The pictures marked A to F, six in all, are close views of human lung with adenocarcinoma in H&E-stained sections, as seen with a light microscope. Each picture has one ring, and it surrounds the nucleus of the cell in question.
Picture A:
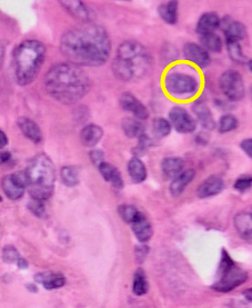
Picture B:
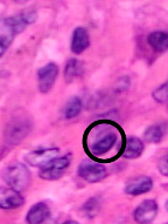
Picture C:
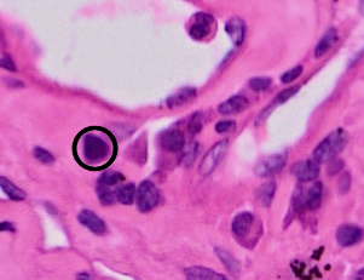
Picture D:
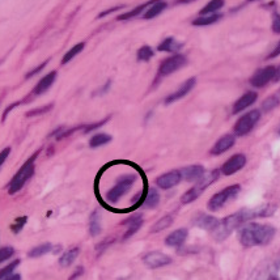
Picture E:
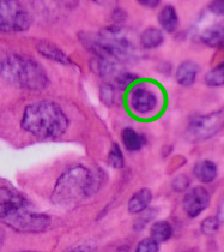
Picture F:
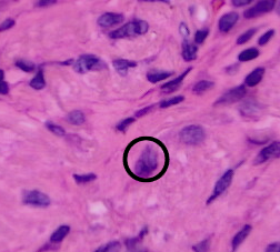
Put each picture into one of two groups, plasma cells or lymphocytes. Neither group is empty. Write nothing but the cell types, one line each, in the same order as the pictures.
lymphocyte
lymphocyte
plasma cell
lymphocyte
lymphocyte
plasma cell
